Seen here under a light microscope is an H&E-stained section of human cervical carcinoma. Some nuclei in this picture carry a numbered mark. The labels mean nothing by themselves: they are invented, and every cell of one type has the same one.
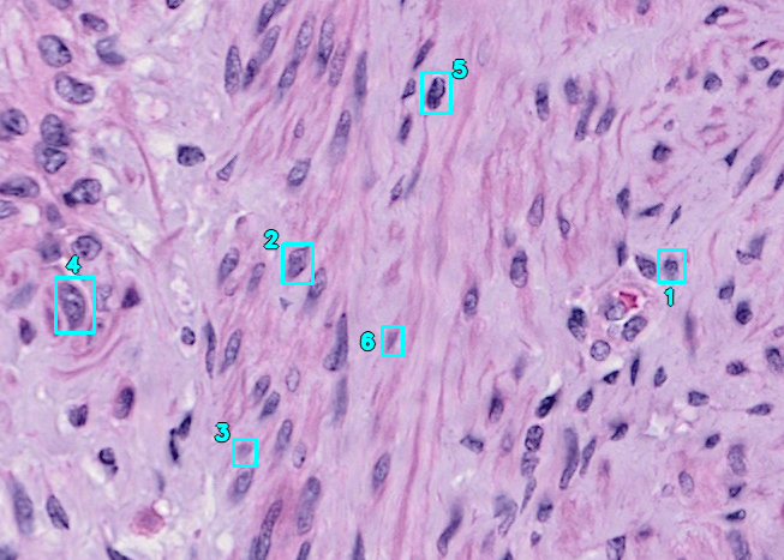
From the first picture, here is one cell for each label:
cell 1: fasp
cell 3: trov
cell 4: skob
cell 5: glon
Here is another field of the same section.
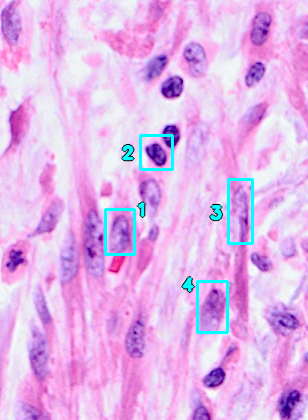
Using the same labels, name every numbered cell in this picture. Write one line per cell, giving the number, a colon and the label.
1: skob
2: glon
3: fasp
4: fasp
